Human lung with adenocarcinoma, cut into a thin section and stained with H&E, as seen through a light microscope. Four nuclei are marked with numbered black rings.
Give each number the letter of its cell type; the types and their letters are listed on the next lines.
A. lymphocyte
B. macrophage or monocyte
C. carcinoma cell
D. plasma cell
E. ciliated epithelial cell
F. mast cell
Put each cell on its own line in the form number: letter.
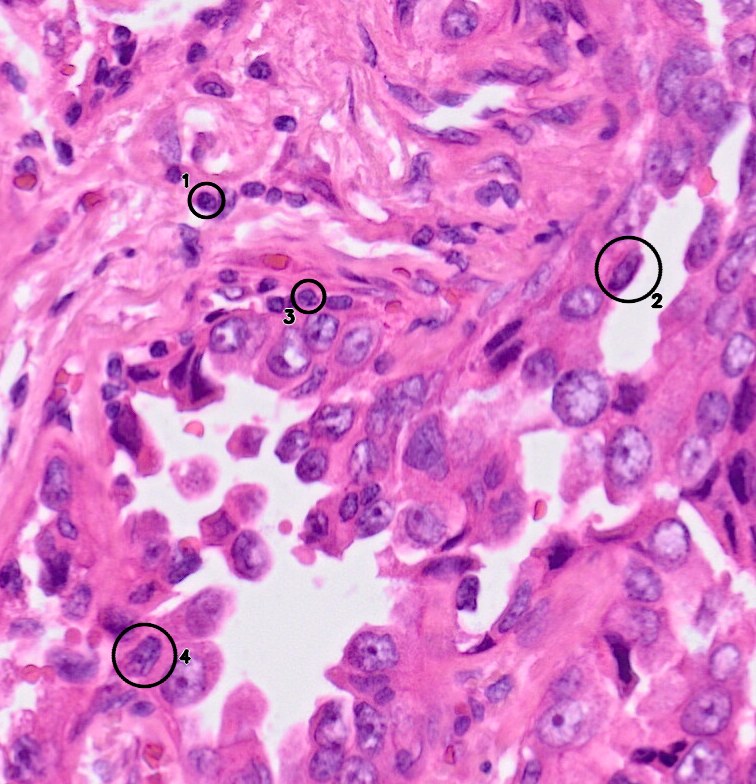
1: A
2: C
3: A
4: C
